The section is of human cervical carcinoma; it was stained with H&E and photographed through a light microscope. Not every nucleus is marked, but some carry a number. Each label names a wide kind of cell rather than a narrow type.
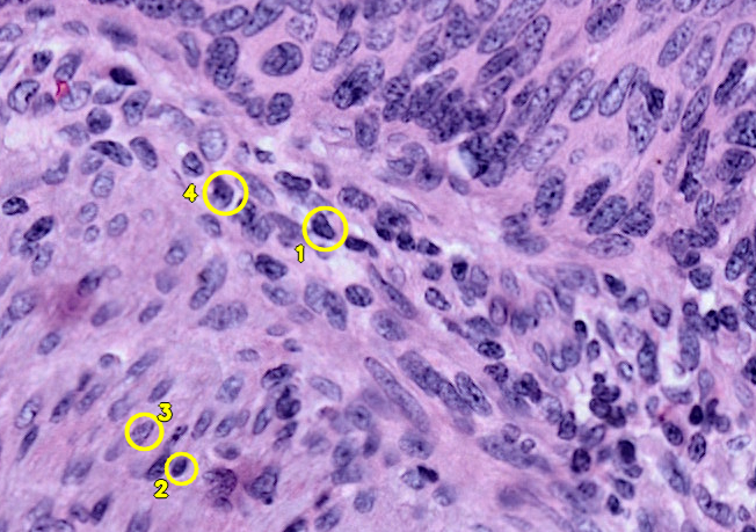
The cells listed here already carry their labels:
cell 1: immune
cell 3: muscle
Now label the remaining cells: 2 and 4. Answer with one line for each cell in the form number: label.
2: immune
4: immune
